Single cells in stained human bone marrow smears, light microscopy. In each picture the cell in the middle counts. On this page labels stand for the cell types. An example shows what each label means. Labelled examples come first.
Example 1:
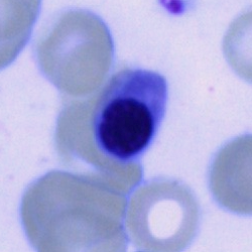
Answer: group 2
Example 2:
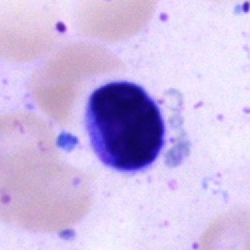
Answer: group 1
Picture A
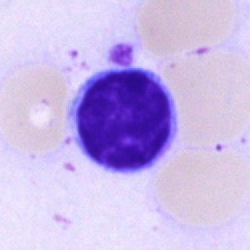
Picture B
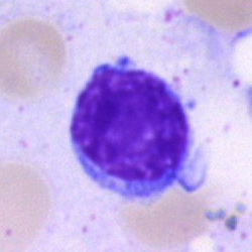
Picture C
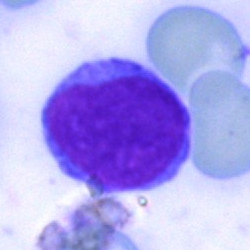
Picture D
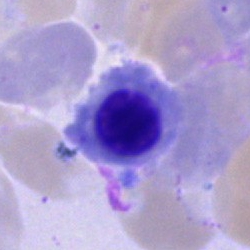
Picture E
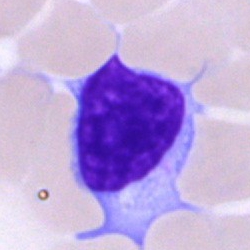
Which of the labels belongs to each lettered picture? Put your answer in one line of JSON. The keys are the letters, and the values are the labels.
{"A": "group 1", "B": "group 1", "C": "group 1", "D": "group 2", "E": "group 1"}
